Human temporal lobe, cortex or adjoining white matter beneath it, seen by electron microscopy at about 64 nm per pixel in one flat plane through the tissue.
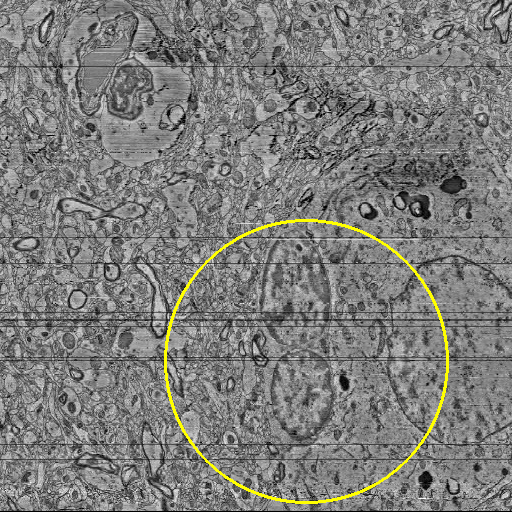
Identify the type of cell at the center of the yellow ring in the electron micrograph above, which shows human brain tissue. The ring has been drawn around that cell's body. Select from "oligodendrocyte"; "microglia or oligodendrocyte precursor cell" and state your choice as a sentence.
The yellow ring is centered on the body of an oligodendrocyte.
